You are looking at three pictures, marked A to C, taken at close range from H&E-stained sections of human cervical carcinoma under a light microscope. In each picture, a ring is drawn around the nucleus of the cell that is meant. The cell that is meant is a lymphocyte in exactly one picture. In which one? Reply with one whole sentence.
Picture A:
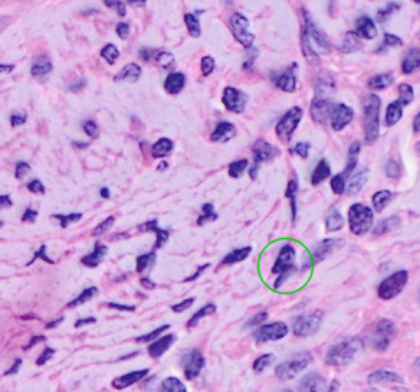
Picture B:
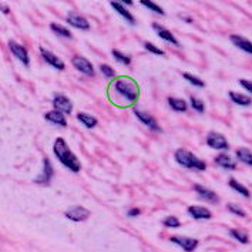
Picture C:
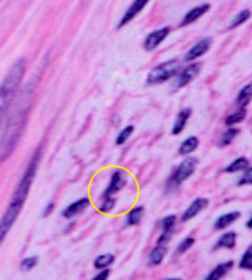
The picture with the lymphocyte is A.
